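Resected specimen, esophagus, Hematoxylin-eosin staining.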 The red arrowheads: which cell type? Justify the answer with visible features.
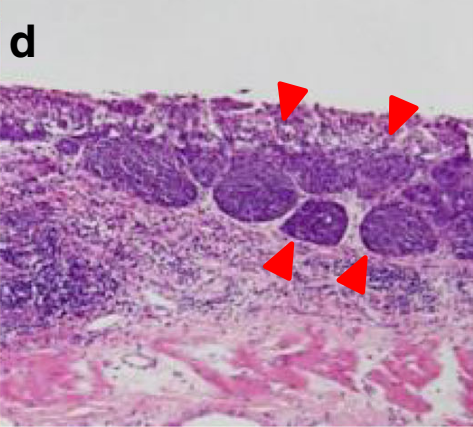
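Viable cancer cells. Rounded, sharply bordered nests of tightly crowded cells with dark purple nuclei. The nests lie in the superficial layer of the wall, just below the surface. The nests stand out as much darker and more densely cellular than the surrounding tissue.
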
